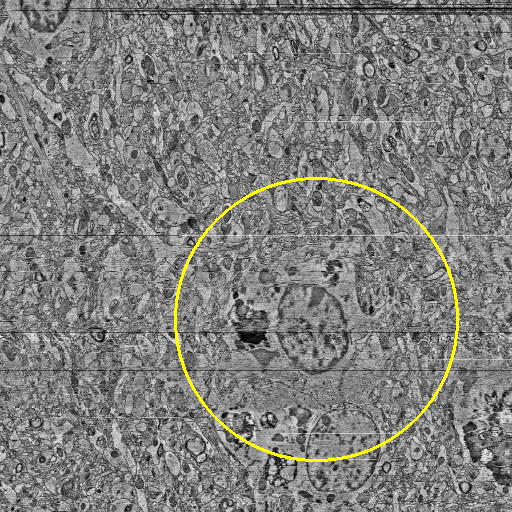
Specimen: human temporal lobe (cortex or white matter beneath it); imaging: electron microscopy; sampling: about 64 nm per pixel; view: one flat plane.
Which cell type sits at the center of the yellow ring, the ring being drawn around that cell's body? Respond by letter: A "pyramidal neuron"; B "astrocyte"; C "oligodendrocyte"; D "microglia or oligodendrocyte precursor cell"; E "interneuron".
B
